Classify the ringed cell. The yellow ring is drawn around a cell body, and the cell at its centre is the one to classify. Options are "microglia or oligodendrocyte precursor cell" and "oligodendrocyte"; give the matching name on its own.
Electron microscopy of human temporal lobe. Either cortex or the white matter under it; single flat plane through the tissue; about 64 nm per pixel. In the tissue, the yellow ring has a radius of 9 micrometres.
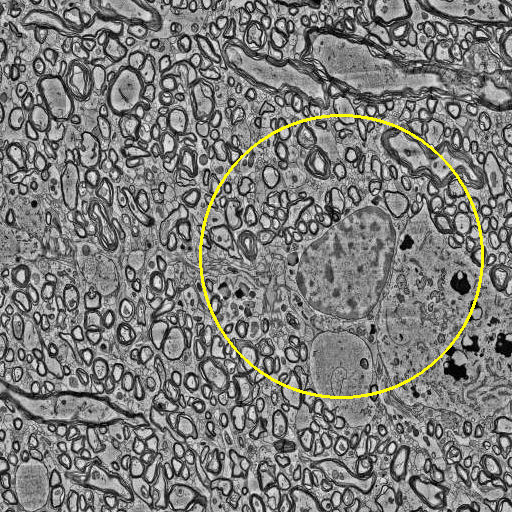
microglia or oligodendrocyte precursor cell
